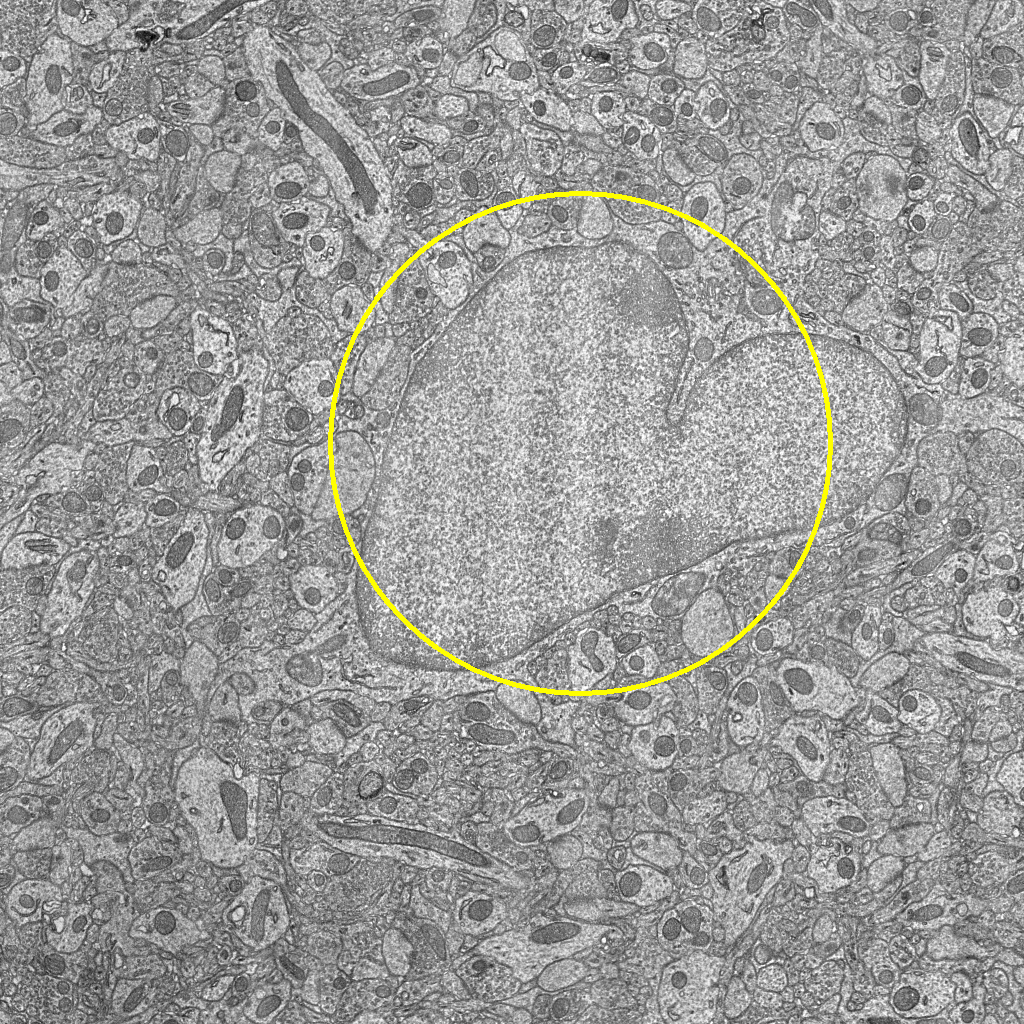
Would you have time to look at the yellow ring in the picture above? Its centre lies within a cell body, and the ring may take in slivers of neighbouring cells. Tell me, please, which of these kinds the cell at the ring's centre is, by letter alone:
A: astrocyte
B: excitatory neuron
A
